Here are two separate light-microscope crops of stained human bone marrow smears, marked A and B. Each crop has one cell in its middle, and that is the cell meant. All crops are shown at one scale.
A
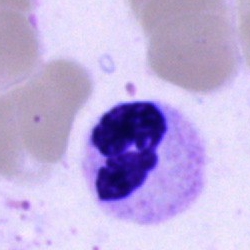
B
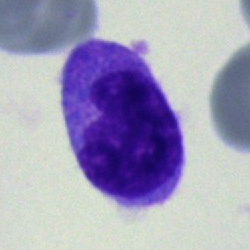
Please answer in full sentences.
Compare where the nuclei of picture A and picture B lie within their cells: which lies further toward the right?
Seen within its cell, the nucleus in picture B lies further toward the right.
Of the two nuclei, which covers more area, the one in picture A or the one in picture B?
It is the nucleus in picture B, about 2 times as large in area as the one in picture A.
